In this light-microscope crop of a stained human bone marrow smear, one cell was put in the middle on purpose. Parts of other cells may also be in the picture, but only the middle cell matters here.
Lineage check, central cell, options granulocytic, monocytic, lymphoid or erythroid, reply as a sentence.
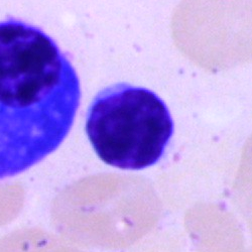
The cell at the middle of the crop is designated as lymphoid in lineage.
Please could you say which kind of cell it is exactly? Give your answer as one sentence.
For this crop, the cell in the middle is a lymphocyte.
